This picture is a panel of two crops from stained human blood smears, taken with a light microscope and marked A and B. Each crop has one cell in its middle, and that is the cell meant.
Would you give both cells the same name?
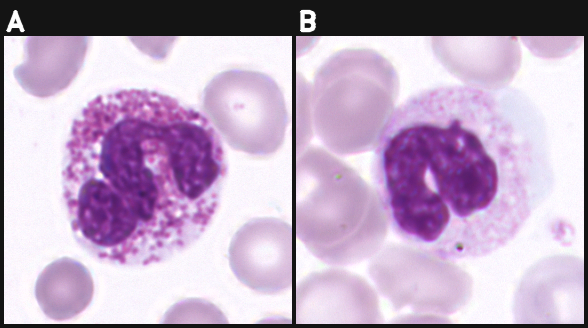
no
